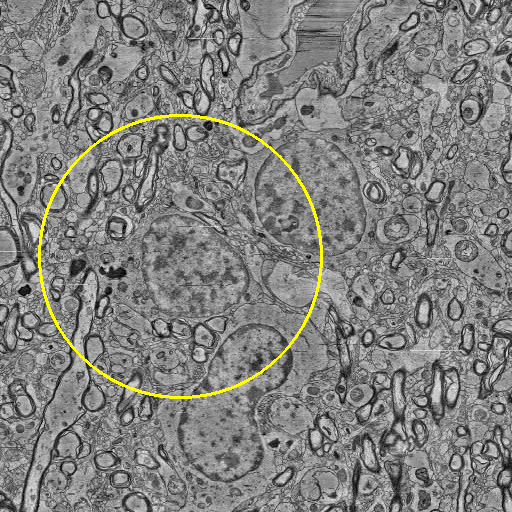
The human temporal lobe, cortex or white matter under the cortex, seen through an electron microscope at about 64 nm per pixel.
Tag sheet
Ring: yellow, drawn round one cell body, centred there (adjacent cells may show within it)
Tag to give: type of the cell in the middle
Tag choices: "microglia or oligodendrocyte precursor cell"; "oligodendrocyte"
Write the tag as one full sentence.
I tag the cell centred in the yellow ring as an oligodendrocyte in this picture.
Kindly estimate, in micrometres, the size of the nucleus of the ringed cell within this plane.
In this plane the nucleus is about 8 micrometres by 7.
